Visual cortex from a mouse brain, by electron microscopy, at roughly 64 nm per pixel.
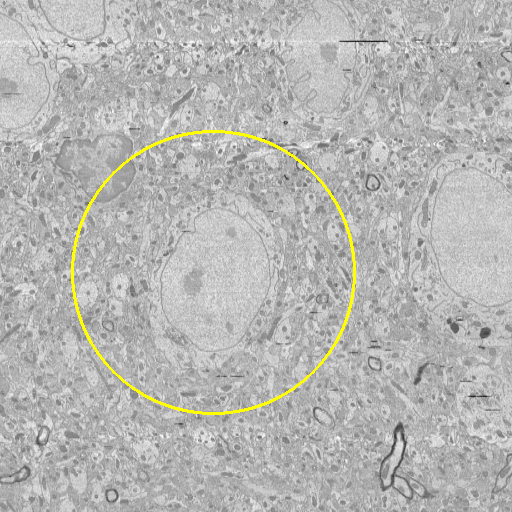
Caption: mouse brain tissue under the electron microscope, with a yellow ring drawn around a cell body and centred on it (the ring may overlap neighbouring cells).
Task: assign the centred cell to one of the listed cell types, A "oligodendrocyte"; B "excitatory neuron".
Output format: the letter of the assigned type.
B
